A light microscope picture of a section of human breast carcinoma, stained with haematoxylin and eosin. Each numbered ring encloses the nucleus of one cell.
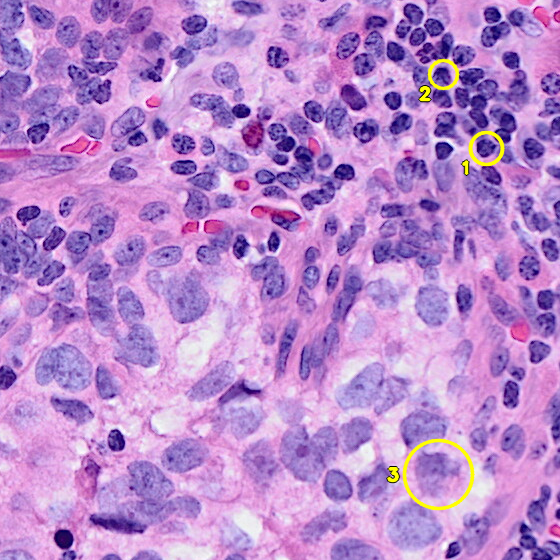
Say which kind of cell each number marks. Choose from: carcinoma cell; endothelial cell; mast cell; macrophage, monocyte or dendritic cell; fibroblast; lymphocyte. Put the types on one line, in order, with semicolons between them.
lymphocyte; lymphocyte; carcinoma cell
